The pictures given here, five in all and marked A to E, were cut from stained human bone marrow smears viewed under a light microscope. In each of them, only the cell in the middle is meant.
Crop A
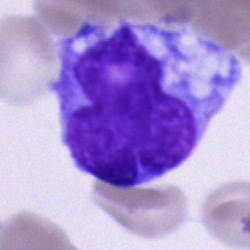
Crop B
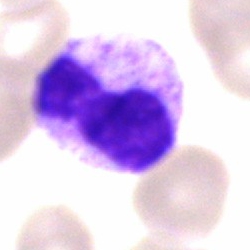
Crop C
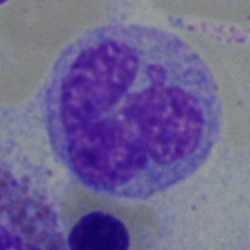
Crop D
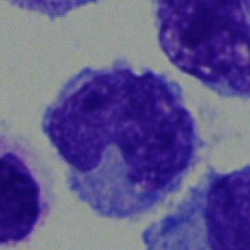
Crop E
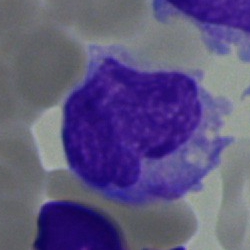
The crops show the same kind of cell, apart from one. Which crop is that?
B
